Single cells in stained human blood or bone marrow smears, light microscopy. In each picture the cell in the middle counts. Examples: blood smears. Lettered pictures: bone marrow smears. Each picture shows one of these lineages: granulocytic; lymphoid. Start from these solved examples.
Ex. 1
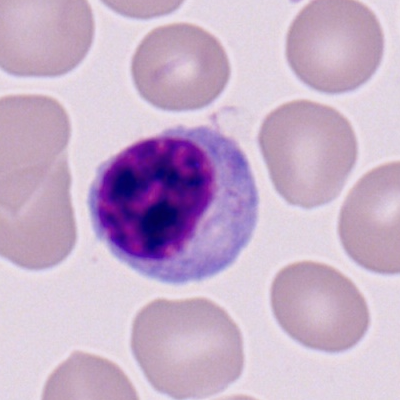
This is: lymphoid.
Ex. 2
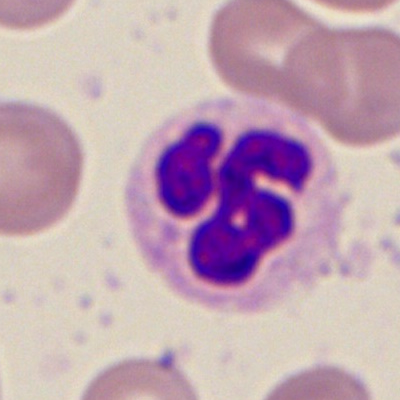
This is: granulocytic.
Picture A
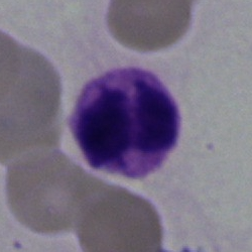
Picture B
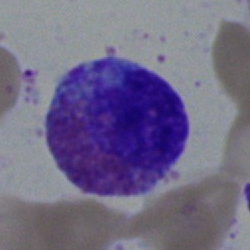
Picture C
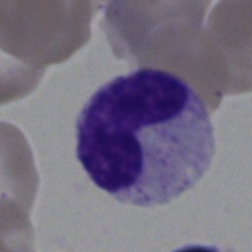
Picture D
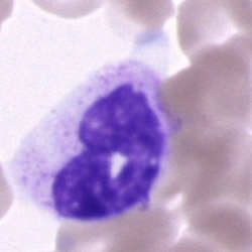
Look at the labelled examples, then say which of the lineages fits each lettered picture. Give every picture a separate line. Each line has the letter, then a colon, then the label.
A: granulocytic.
B: granulocytic.
C: granulocytic.
D: granulocytic.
